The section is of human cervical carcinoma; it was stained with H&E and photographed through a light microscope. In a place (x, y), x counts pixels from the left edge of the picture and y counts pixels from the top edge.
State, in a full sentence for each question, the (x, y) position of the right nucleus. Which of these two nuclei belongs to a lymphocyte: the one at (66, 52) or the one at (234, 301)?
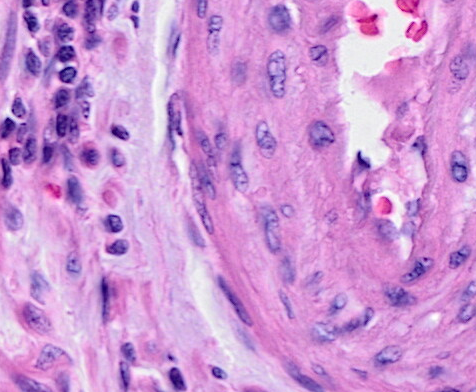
The nucleus that belongs to a lymphocyte is located at (66, 52).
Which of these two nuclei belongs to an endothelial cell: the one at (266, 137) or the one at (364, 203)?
The nucleus whose cell is an endothelial cell is the one at (364, 203).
